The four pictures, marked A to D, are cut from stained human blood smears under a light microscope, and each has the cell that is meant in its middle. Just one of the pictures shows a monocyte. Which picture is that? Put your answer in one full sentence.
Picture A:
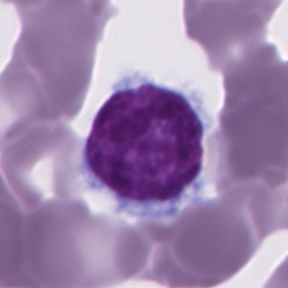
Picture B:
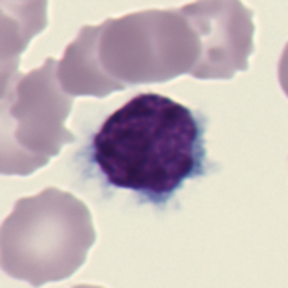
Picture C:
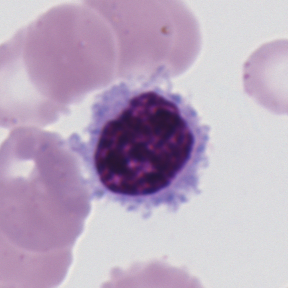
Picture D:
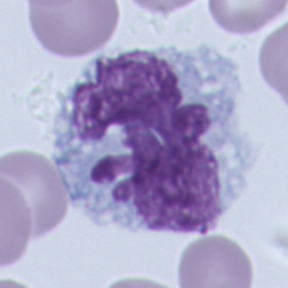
Picture D shows the monocyte.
